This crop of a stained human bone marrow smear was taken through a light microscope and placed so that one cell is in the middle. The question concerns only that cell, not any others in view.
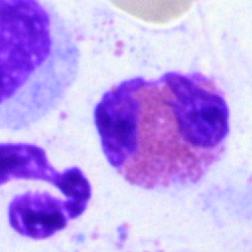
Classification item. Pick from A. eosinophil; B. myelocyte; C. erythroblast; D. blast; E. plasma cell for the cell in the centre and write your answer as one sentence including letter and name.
Here the right option is A, as the cell in the middle is an eosinophil.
